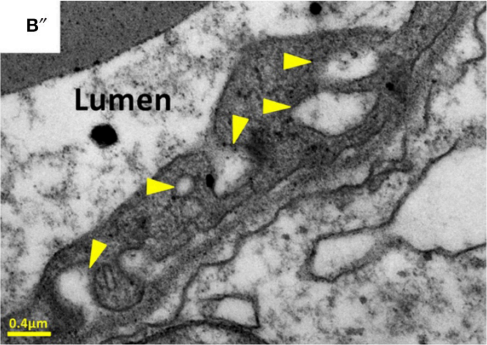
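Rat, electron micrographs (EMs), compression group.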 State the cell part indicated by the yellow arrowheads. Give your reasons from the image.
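Caveolae-like vesicles. Small round membrane-bound clear spaces lie within the thin cell layer next to the lumen. The marked vesicles sit near both the luminal and the outer face of the layer.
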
